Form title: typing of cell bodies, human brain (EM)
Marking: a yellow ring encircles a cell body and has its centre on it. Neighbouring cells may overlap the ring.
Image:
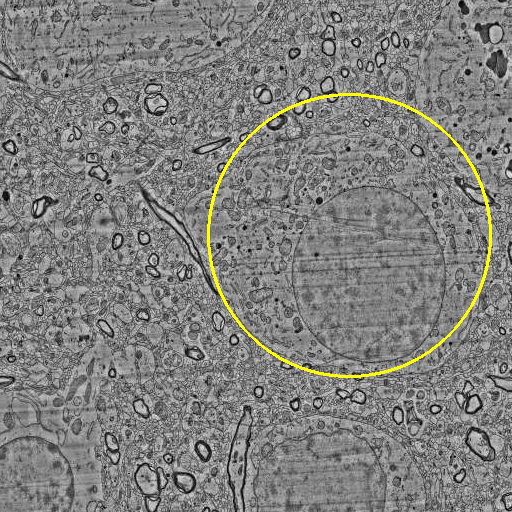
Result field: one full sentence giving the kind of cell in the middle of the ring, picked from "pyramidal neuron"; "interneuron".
In the picture, the ring is centred on an interneuron, whose cell body it encircles.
